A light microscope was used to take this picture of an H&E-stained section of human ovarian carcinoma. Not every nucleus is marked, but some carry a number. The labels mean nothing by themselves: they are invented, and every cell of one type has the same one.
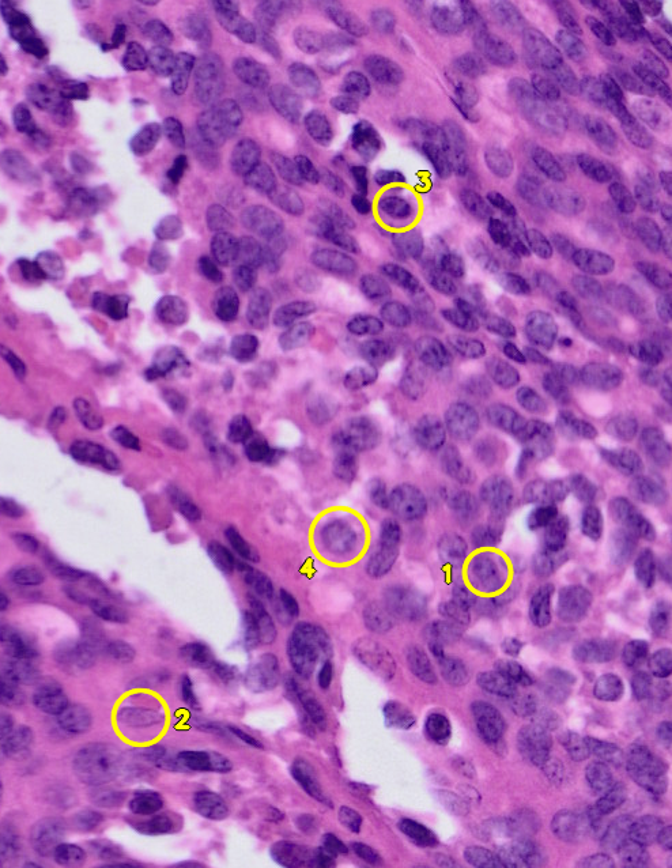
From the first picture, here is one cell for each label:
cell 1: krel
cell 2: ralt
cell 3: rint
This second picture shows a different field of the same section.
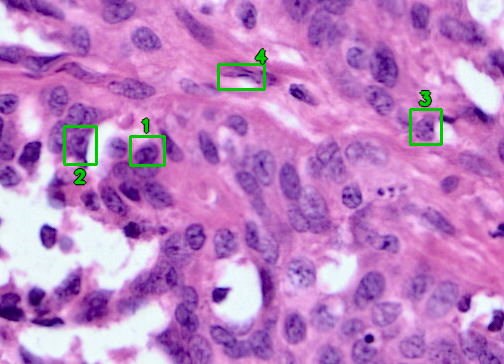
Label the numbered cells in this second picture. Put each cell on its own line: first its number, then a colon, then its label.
1: krel
2: krel
3: rint
4: ralt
